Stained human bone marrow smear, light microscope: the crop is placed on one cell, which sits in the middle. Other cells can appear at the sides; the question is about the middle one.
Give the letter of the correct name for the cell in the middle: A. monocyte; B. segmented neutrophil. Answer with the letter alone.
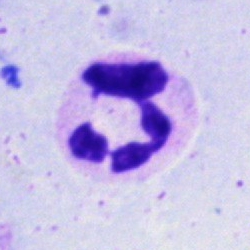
B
